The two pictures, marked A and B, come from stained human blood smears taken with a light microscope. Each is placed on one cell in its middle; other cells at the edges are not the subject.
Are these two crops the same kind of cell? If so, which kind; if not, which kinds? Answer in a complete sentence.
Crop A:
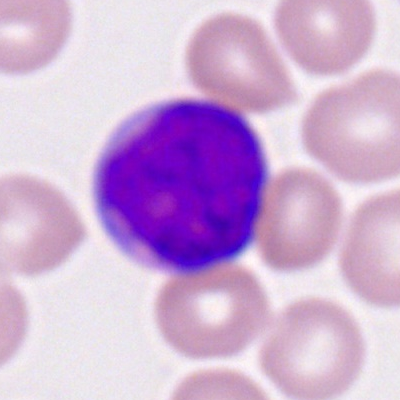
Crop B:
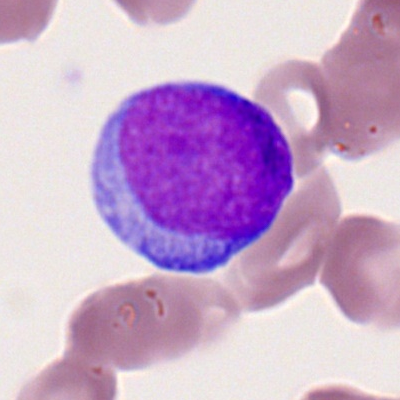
Yes, these two crops both show blasts.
